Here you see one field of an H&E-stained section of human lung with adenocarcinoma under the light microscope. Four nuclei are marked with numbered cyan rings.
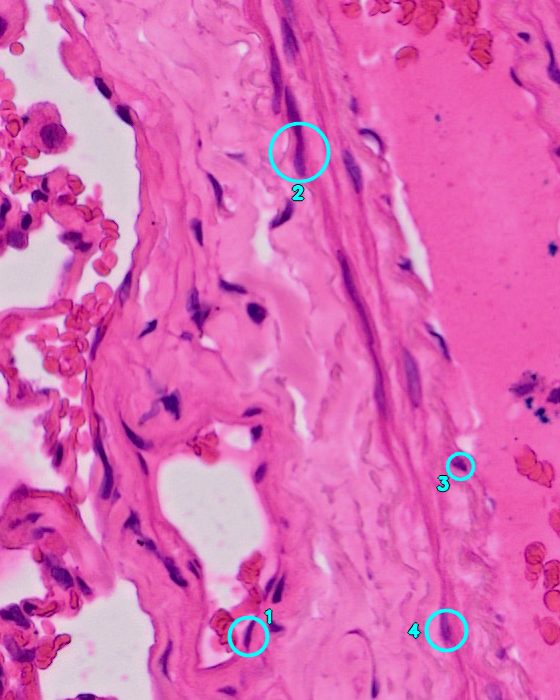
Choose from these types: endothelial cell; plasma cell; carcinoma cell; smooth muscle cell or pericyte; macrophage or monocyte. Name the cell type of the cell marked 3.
smooth muscle cell or pericyte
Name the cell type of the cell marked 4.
smooth muscle cell or pericyte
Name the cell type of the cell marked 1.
endothelial cell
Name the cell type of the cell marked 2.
smooth muscle cell or pericyte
